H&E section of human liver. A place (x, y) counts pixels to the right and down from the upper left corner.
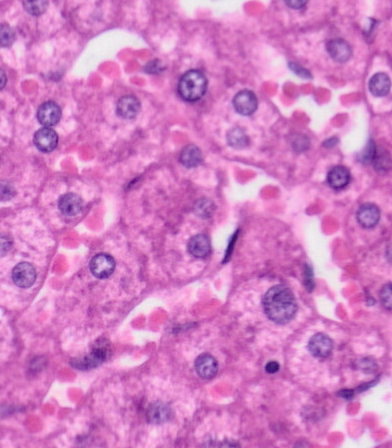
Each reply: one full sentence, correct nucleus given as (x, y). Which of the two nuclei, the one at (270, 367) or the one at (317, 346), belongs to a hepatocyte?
So, of the two, the nucleus at (317, 346) is the one belonging to a hepatocyte.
